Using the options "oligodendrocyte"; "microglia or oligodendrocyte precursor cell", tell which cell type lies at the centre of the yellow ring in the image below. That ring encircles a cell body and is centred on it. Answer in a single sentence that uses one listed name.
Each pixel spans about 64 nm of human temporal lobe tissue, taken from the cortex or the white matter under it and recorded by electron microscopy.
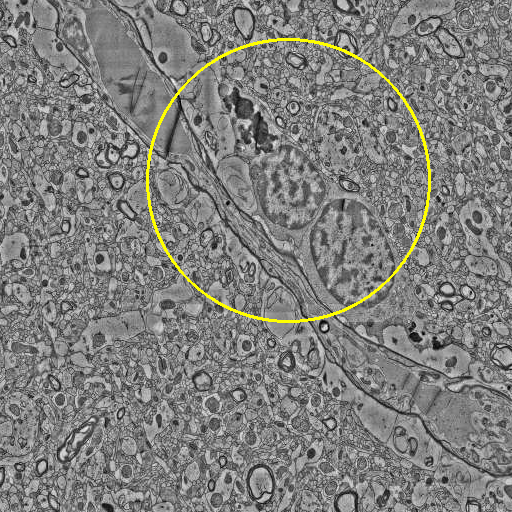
At the centre of the yellow ring lies the body of an oligodendrocyte.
